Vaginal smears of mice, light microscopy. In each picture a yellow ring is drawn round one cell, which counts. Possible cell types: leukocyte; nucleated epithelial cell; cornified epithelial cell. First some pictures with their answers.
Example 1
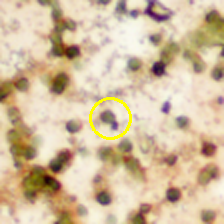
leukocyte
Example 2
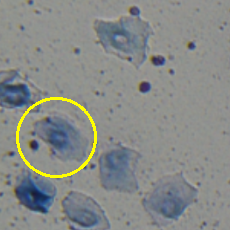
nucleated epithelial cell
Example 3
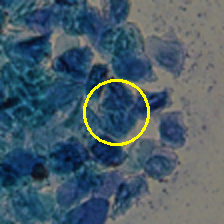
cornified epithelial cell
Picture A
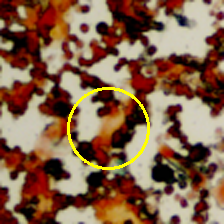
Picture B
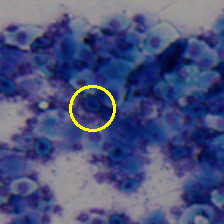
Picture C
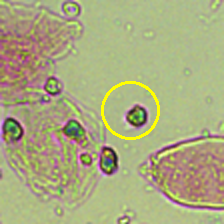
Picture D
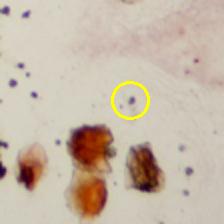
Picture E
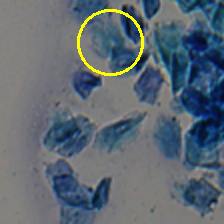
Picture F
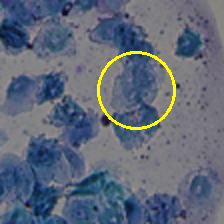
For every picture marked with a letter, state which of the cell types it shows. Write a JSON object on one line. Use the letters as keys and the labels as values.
{"A": "cornified epithelial cell", "B": "nucleated epithelial cell", "C": "leukocyte", "D": "leukocyte", "E": "cornified epithelial cell", "F": "cornified epithelial cell"}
